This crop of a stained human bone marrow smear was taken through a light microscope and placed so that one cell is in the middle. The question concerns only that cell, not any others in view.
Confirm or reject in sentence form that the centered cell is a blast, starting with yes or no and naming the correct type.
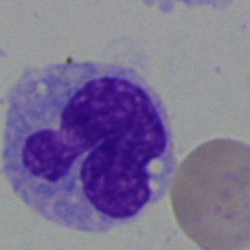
No, this is not a blast at all; the cell in the middle is a monocyte.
